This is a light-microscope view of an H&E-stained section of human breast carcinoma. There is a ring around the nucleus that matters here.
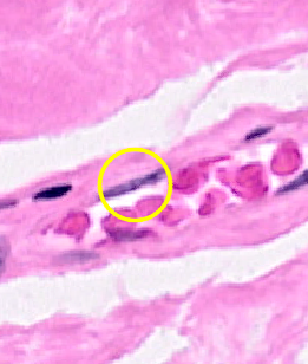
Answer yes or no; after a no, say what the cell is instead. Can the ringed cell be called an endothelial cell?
Yes.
